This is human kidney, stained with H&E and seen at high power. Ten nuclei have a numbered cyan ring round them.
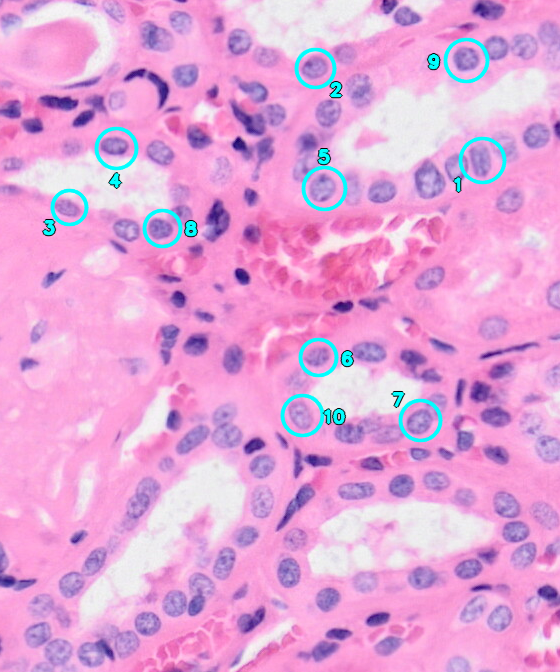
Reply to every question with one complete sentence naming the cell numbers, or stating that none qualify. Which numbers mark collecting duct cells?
The cells marked by the numbers 1, 5, 6, 7, 9 and 10 are collecting duct cells.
